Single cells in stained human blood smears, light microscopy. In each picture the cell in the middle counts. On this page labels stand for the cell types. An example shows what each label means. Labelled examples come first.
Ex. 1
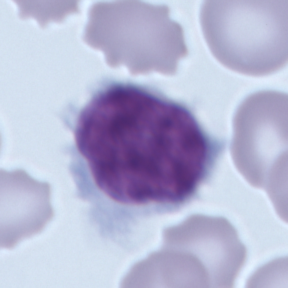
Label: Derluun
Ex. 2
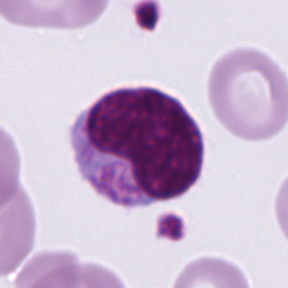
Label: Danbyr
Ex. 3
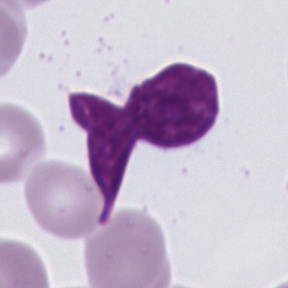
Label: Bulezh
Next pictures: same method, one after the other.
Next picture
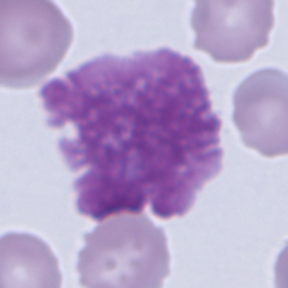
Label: Bulezh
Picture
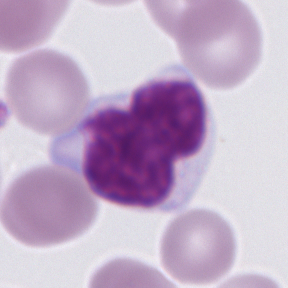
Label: Danbyr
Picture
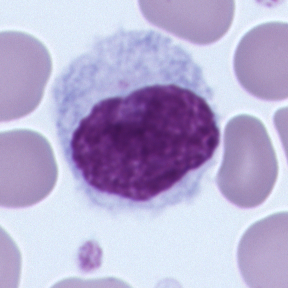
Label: Derluun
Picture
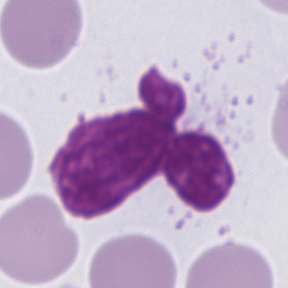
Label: Bulezh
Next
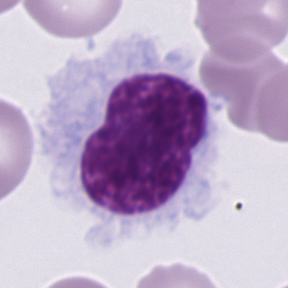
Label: Derluun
